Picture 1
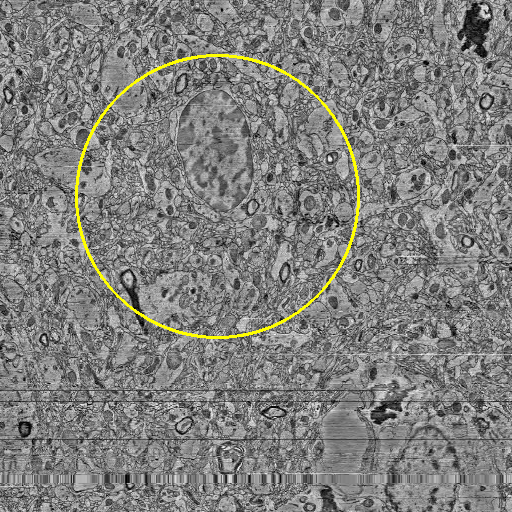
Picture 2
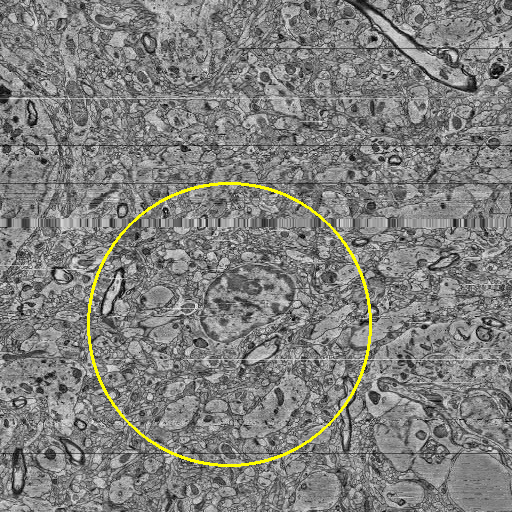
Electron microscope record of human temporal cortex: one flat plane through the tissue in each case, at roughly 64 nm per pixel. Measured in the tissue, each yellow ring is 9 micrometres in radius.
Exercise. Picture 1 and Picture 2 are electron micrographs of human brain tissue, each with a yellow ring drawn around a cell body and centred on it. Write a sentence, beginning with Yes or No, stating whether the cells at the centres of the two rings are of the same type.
Yes, the cells at the centres of both rings are of the same type.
